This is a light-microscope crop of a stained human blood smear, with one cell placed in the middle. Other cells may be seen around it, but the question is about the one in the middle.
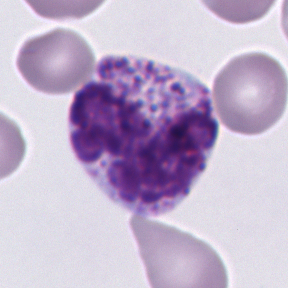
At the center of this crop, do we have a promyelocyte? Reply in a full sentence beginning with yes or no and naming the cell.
No, the cell in the middle is recognised as a basophil rather than a promyelocyte.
